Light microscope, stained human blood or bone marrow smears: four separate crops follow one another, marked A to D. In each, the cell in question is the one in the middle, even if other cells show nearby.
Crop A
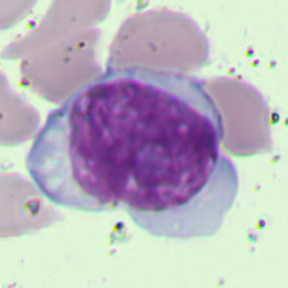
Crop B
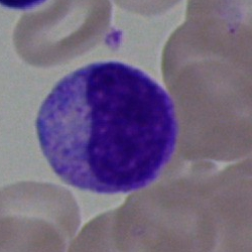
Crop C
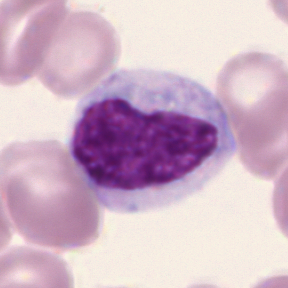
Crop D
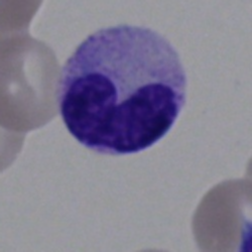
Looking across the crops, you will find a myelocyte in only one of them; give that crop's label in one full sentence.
Selected crop: B, which is the one that shows a myelocyte.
